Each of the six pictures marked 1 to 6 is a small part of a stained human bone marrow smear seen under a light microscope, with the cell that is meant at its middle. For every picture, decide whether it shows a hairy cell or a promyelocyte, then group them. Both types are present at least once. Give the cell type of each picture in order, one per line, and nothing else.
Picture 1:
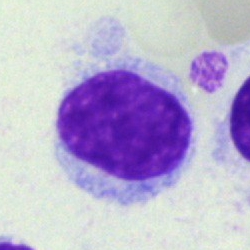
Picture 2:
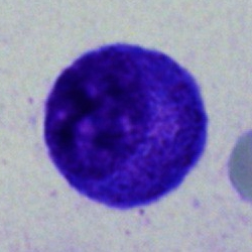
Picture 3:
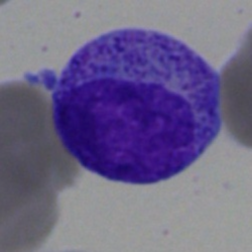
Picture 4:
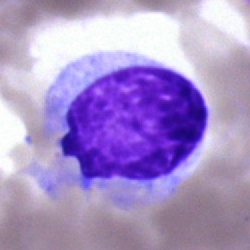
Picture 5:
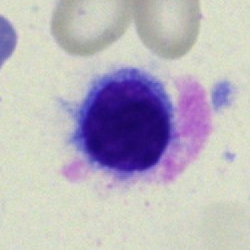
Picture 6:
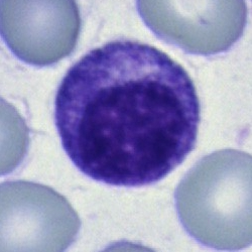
hairy cell
promyelocyte
promyelocyte
hairy cell
hairy cell
promyelocyte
